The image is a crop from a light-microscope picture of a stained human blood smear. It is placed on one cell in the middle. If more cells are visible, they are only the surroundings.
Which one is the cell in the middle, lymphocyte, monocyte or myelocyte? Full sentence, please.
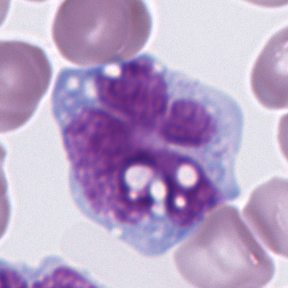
This crop is built around a monocyte at its centre.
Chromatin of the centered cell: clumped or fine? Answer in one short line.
Coarse clumps are absent, and the chromatin is fine throughout.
